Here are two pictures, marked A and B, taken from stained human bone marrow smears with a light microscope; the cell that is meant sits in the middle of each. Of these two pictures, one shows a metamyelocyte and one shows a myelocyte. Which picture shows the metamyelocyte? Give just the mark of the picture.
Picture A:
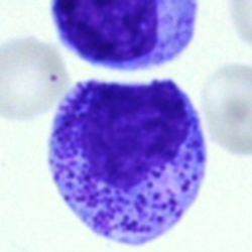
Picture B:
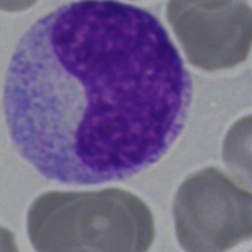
B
